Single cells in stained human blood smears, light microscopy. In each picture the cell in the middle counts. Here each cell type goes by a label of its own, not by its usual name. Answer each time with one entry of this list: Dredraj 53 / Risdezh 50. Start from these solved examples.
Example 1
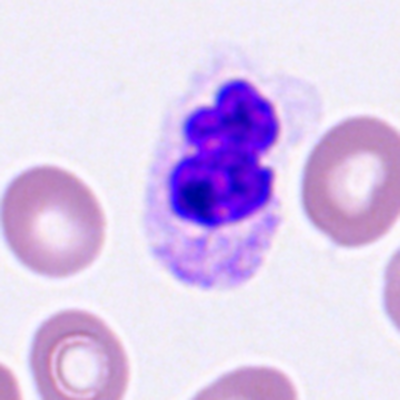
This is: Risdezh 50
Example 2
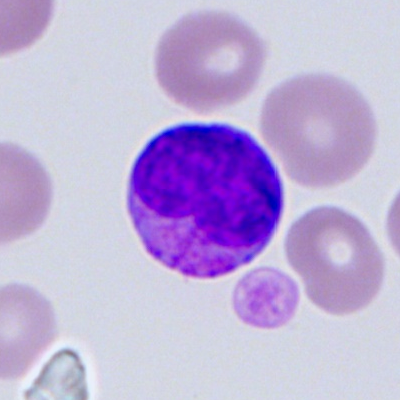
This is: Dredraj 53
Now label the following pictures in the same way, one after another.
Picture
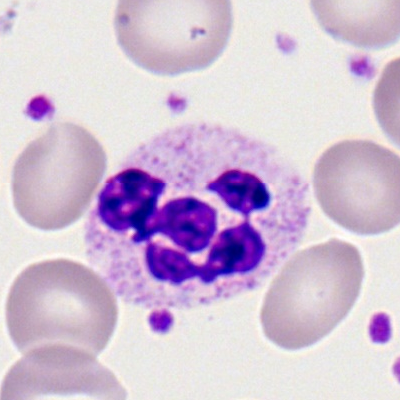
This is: Risdezh 50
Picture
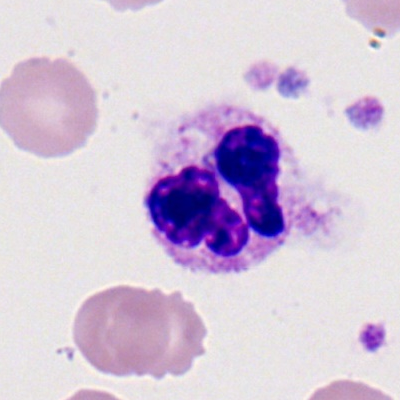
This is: Risdezh 50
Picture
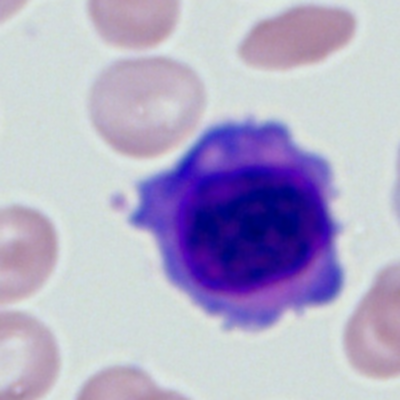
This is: Dredraj 53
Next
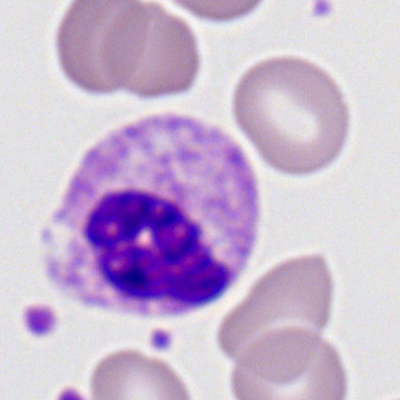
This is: Risdezh 50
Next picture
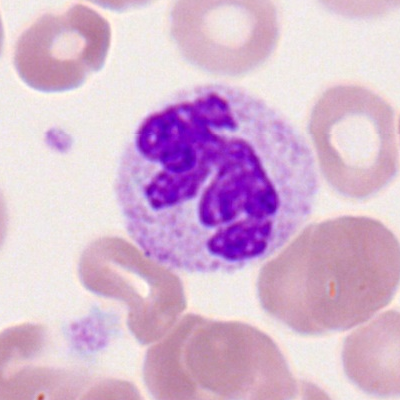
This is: Risdezh 50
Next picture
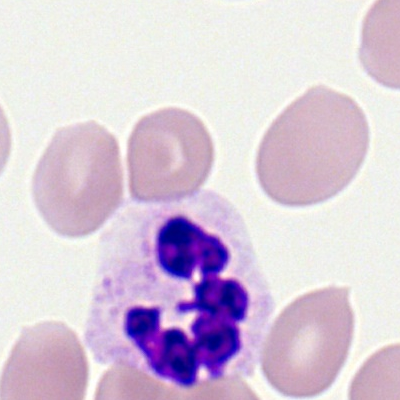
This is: Risdezh 50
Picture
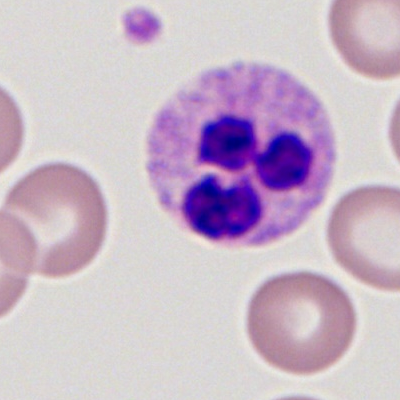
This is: Risdezh 50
